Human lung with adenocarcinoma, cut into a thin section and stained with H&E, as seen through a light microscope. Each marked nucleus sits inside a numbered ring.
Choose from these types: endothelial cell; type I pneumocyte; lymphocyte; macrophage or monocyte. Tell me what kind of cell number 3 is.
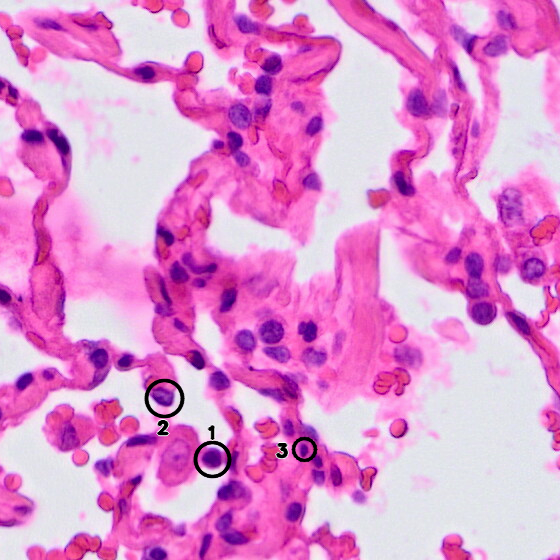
endothelial cell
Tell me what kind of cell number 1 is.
lymphocyte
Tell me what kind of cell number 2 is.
type I pneumocyte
